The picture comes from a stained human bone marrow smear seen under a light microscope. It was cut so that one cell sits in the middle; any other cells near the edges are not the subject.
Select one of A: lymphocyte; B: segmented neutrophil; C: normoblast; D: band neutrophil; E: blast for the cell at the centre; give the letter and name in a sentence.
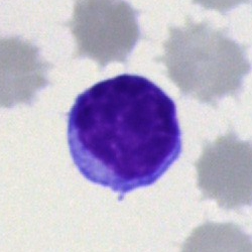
Correctly, option A names the cell in the middle a lymphocyte.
